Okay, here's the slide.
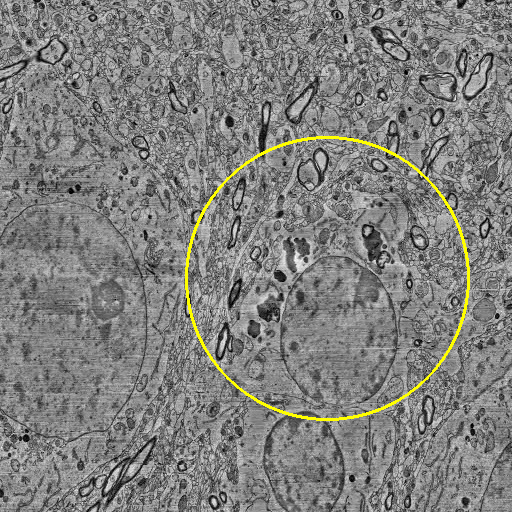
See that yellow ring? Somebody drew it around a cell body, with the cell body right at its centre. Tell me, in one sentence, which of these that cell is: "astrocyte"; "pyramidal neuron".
The cell in the middle of the ring is an astrocyte.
